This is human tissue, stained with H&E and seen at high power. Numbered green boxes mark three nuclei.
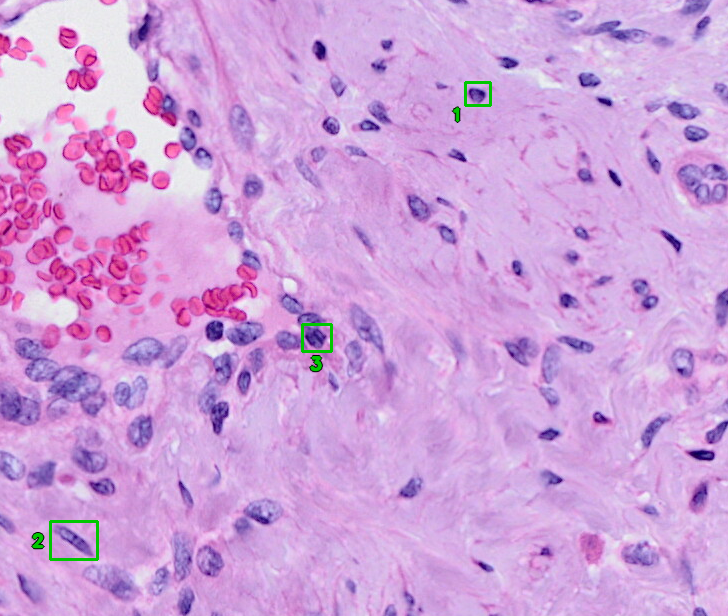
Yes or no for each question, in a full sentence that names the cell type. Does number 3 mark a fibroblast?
No, cell 3 should be classed as an endothelial cell, not as a fibroblast.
